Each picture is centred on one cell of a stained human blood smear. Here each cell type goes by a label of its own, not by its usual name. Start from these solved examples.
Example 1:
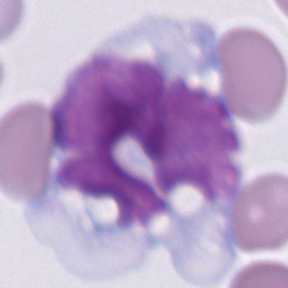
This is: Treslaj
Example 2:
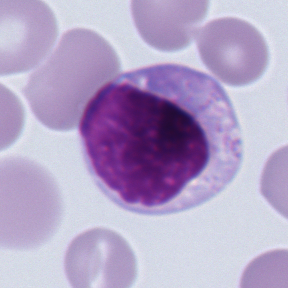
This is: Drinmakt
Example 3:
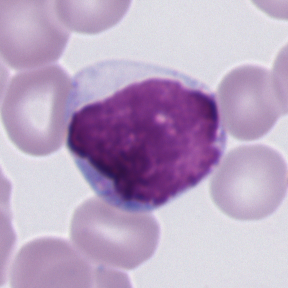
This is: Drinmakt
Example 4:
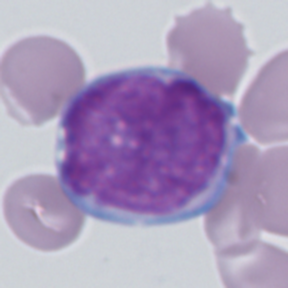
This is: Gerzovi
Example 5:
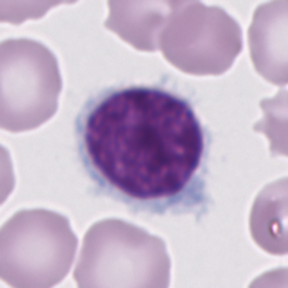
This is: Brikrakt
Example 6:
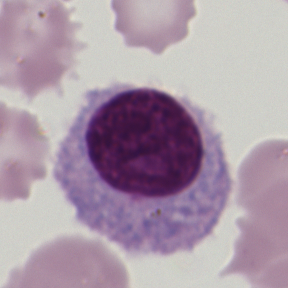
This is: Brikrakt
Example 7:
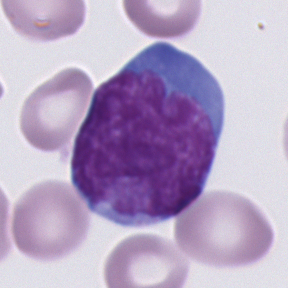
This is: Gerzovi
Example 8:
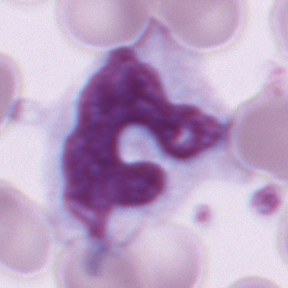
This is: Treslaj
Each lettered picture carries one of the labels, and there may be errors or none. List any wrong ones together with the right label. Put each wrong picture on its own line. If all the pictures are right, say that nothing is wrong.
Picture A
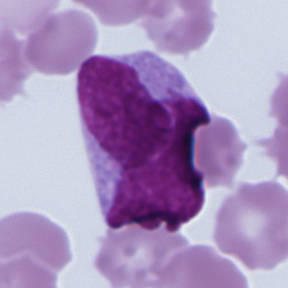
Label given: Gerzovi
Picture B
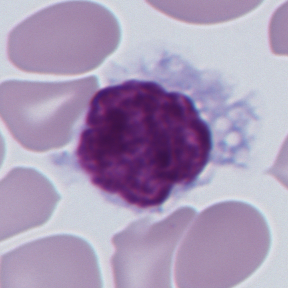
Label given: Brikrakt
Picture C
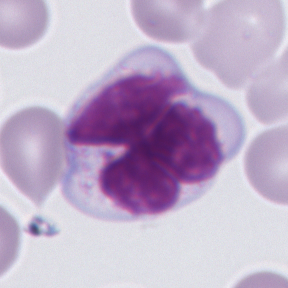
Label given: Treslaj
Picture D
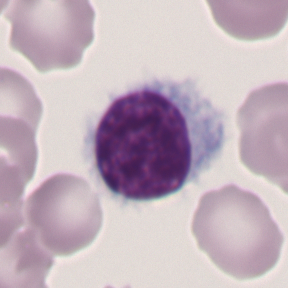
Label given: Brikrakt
C should be Drinmakt, not Treslaj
